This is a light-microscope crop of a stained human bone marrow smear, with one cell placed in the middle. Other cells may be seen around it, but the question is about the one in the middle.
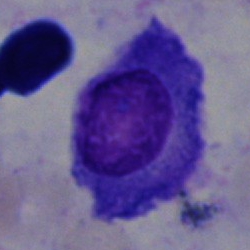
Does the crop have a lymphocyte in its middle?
no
